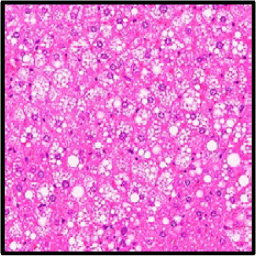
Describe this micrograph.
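This is liver tissue, made of closely packed hepatocytes stained pink. The cells are polygonal and arranged in sheets, each with a round, purple-staining nucleus set near its centre. Scattered throughout the cytoplasm are many clear, round vacuoles of varying size, from tiny droplets to larger spaces, which give the tissue a finely bubbly, lacy look.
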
